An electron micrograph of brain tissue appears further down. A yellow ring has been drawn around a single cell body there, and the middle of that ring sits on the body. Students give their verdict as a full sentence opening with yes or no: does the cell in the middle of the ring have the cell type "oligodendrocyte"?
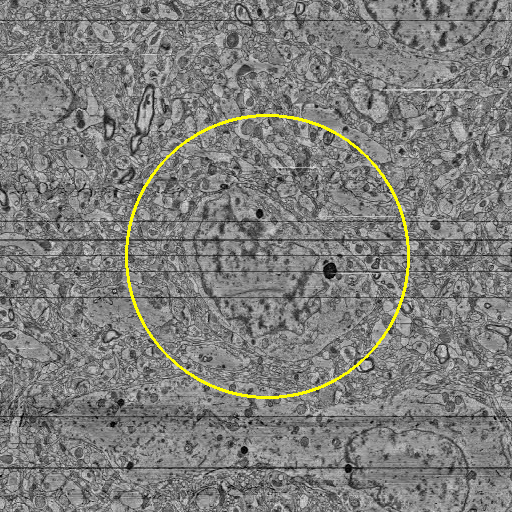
No, in this picture the cell sitting at the middle of the ring has a different cell type.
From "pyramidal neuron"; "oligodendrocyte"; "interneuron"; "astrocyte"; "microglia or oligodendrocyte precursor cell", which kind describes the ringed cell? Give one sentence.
It is an interneuron at the centre of the ring.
